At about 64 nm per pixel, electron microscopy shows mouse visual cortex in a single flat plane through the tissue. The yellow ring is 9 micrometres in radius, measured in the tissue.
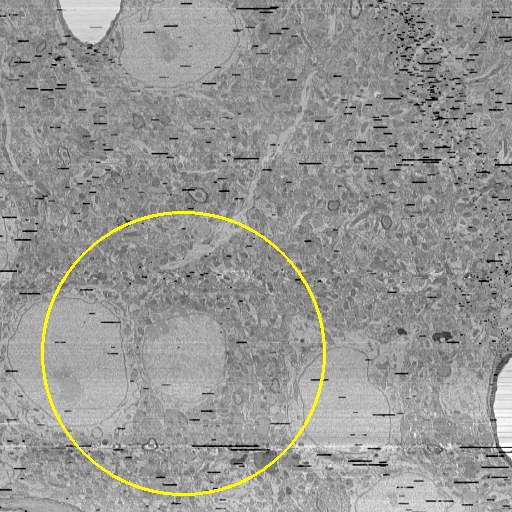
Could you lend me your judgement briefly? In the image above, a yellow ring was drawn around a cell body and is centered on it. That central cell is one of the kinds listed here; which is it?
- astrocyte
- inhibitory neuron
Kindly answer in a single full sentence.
Going by the list, an astrocyte is the kind at the ring's center in the picture.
